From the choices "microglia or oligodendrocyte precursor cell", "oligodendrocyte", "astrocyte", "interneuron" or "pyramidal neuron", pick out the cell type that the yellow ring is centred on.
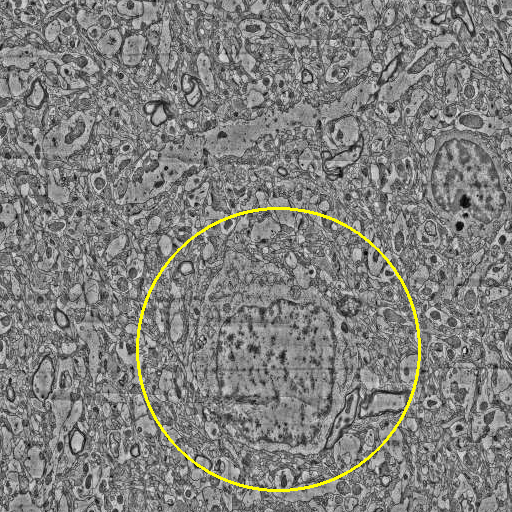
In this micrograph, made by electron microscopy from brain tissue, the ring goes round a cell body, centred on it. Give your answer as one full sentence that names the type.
The yellow ring is centred on an interneuron, whose cell body it encircles in the picture.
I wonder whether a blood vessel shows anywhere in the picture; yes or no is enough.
No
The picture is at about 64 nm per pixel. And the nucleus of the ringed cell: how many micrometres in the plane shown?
About 9 micrometres across in this plane, for the nucleus.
